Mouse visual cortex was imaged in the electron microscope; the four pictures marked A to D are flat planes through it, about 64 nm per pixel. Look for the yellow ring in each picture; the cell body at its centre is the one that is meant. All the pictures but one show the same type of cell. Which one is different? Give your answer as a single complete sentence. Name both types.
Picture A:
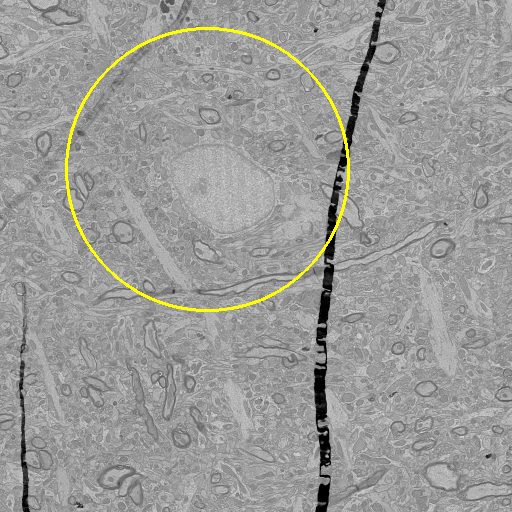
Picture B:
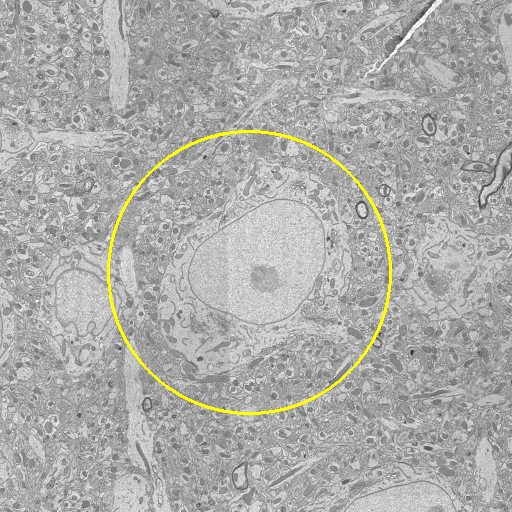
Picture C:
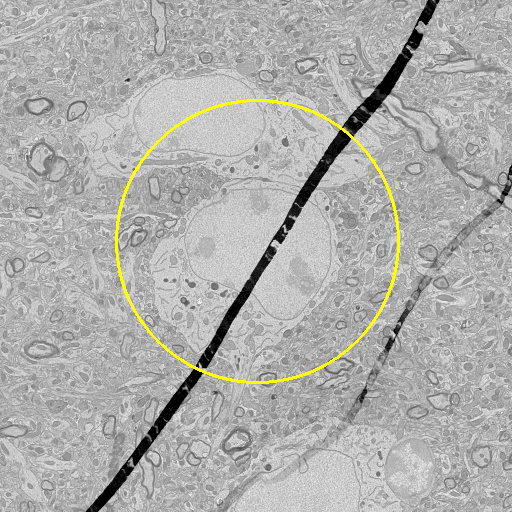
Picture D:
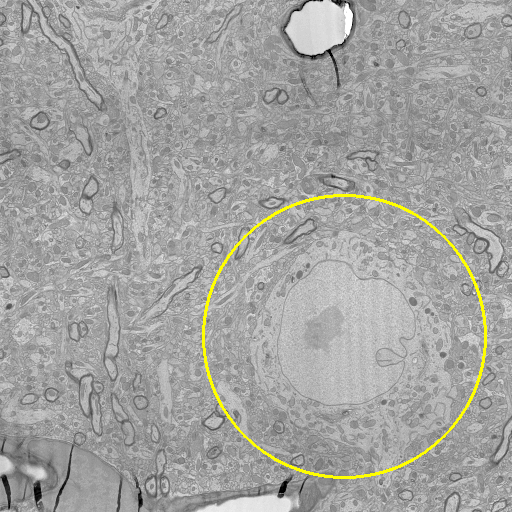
The others show excitatory neurons, but picture A shows an astrocyte.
